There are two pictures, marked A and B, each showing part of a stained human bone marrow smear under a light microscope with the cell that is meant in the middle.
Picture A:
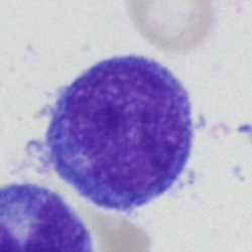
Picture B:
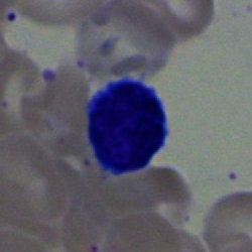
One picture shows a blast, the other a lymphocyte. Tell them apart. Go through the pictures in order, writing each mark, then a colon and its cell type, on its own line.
A: blast
B: lymphocyte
